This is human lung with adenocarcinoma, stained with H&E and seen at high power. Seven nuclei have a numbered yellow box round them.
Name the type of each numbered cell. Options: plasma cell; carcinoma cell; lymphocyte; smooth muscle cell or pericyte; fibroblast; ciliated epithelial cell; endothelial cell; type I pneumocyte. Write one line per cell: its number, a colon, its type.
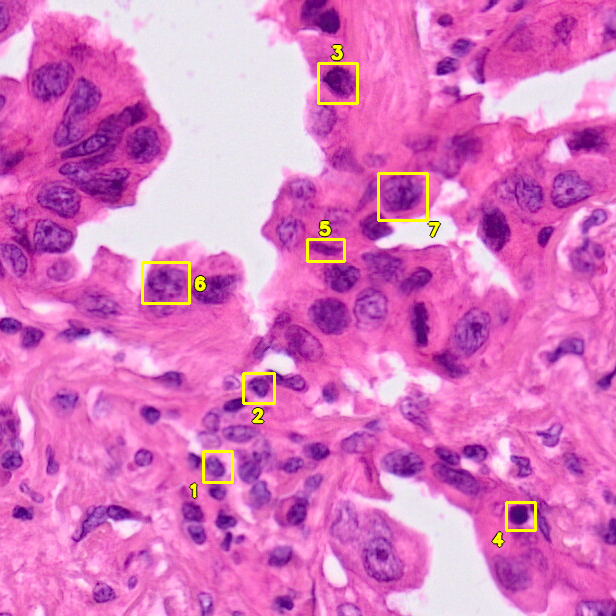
1: lymphocyte
2: lymphocyte
3: carcinoma cell
4: lymphocyte
5: carcinoma cell
6: carcinoma cell
7: carcinoma cell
